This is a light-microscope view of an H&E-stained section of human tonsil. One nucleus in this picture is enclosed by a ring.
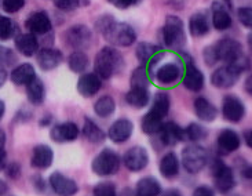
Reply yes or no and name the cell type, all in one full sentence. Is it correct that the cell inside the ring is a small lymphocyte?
Yes, what the cell inside the ring represents in this tissue is a small lymphocyte.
